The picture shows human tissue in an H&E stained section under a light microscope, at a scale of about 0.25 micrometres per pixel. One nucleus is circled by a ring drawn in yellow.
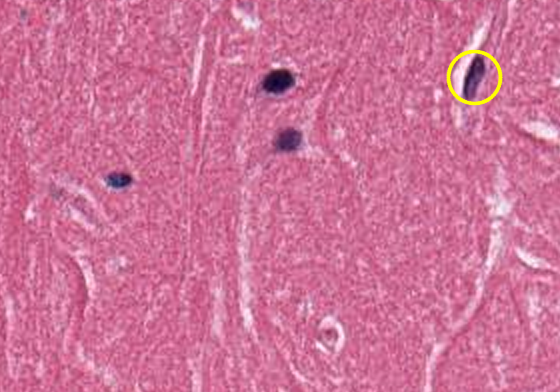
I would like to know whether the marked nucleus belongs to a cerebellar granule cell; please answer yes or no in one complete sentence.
No, the cell to which the marked nucleus belongs is a supporting cell rather than a cerebellar granule cell.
